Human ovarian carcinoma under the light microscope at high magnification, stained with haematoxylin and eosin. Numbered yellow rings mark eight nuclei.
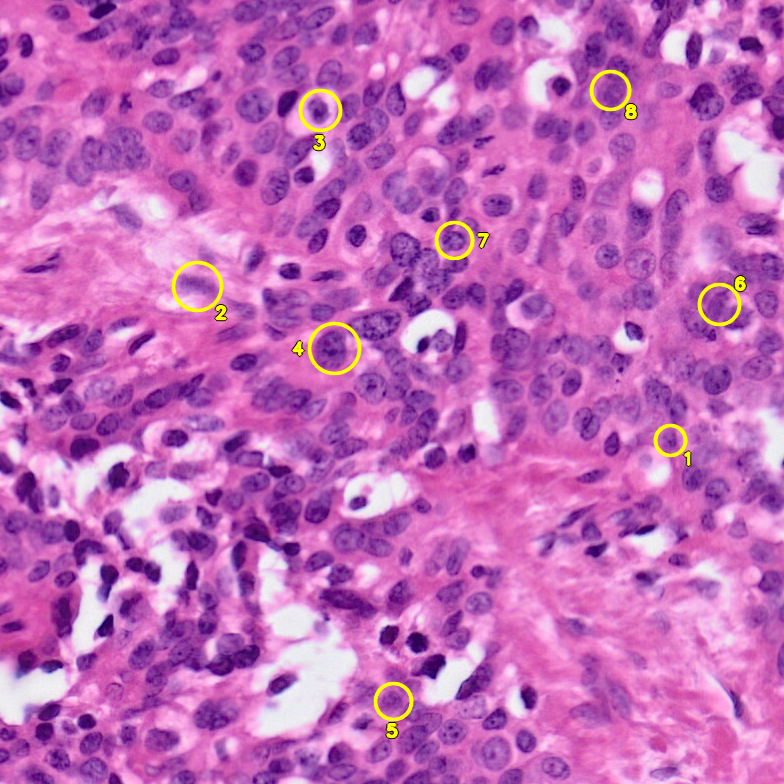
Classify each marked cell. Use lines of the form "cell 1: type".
cell 1: carcinoma cell
cell 2: fibroblast
cell 3: macrophage or monocyte
cell 4: carcinoma cell
cell 5: carcinoma cell
cell 6: carcinoma cell
cell 7: macrophage or monocyte
cell 8: carcinoma cell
